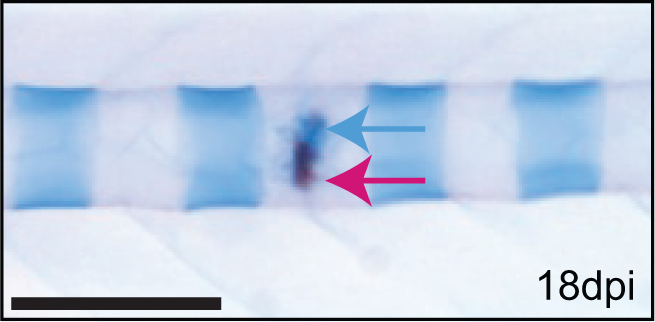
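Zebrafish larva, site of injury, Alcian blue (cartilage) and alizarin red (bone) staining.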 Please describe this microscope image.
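A segment of the vertebral column is shown, with regularly spaced blue-stained blocks along a pale axial rod. In one of the gaps between two blocks lies a small irregular deposit. Its upper part is stained blue and its lower part is stained dark red-purple.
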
